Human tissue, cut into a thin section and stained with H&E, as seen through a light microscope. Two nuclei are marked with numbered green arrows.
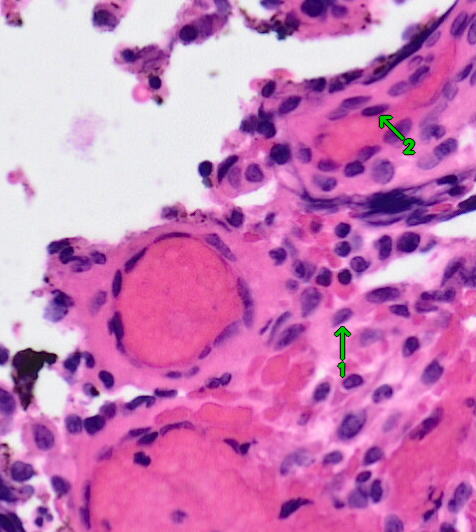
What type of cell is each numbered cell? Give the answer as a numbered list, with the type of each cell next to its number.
1. fibroblast
2. endothelial cell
